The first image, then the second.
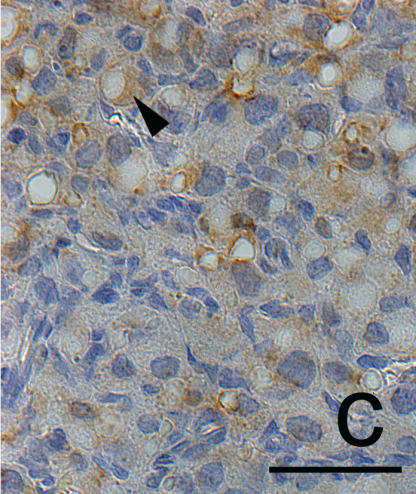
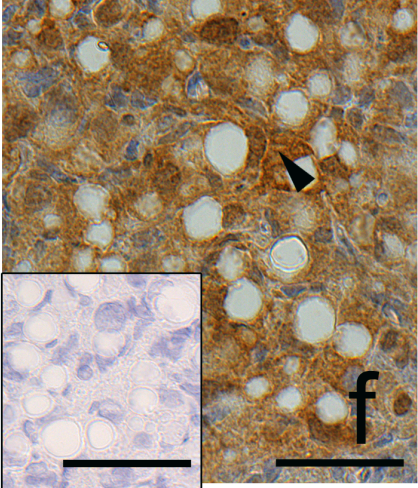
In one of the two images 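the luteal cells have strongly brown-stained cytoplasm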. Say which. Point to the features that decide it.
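The second image. Second image: the cytoplasm of the large cells is deep brown throughout. First image: the cells are mostly pale grey-blue with only faint brown traces.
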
